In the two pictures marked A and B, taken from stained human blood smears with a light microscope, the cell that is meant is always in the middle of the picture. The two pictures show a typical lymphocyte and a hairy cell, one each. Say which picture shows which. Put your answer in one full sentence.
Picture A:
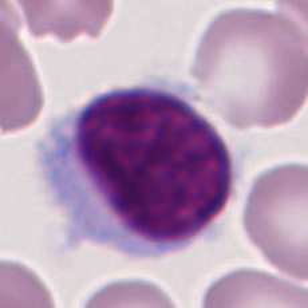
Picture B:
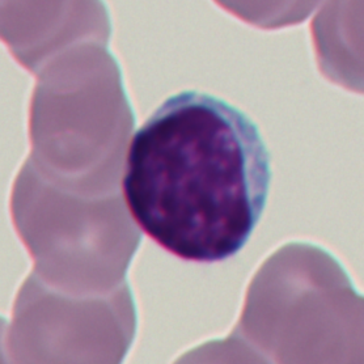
Picture A is of a hairy cell, and picture B is of a typical lymphocyte.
